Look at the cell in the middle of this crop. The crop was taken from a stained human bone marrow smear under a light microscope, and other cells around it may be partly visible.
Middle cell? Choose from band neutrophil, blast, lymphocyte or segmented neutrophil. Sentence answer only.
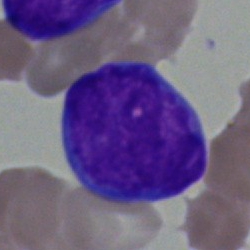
The central cell, amid any neighbouring cells, is a blast.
